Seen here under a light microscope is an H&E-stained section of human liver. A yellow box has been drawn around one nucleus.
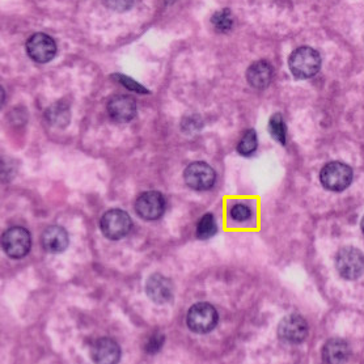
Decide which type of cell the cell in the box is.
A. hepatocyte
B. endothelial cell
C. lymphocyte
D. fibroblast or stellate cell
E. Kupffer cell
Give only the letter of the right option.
C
